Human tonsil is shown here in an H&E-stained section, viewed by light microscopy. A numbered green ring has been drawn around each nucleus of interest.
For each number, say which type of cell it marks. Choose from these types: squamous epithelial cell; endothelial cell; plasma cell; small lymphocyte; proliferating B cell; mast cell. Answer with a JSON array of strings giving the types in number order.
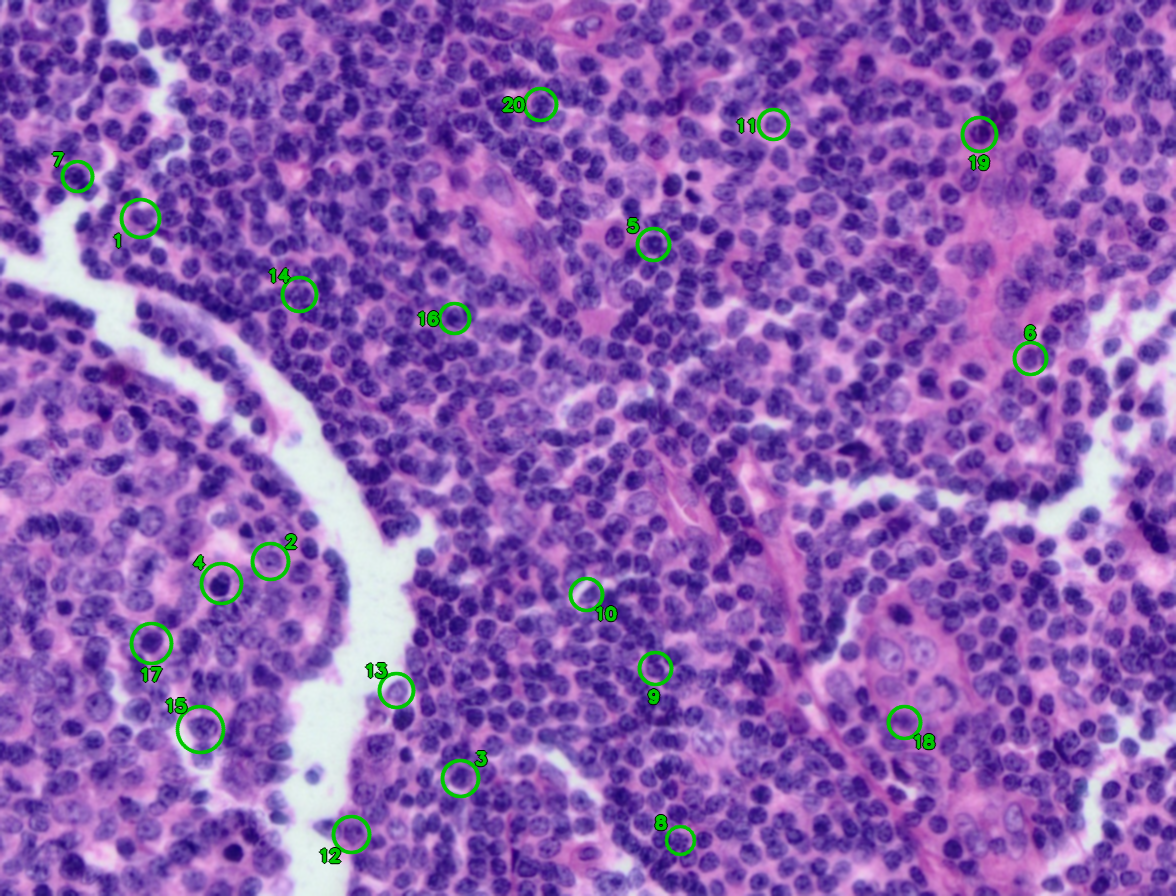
["small lymphocyte", "proliferating B cell", "small lymphocyte", "proliferating B cell", "small lymphocyte", "endothelial cell", "small lymphocyte", "small lymphocyte", "small lymphocyte", "small lymphocyte", "small lymphocyte", "proliferating B cell", "proliferating B cell", "small lymphocyte", "proliferating B cell", "small lymphocyte", "proliferating B cell", "endothelial cell", "plasma cell", "small lymphocyte"]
